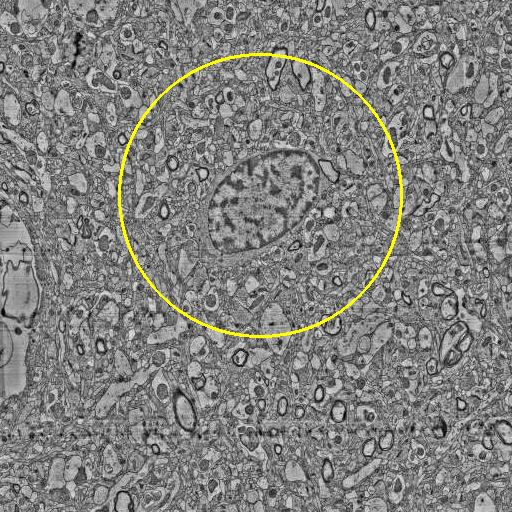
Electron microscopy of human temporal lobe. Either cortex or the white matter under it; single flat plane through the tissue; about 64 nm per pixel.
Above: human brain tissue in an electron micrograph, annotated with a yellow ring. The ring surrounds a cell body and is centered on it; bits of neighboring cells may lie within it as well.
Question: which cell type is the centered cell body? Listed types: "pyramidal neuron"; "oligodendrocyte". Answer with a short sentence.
The centered cell body is an oligodendrocyte.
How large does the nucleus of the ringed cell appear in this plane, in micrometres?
In this plane the nucleus measures about 8 by 5 micrometres and is clearly longer than it is wide.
